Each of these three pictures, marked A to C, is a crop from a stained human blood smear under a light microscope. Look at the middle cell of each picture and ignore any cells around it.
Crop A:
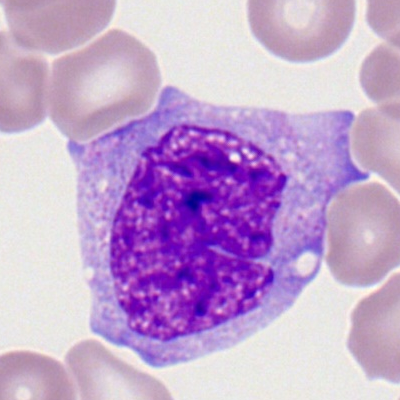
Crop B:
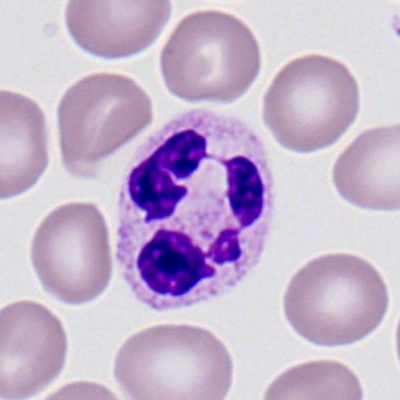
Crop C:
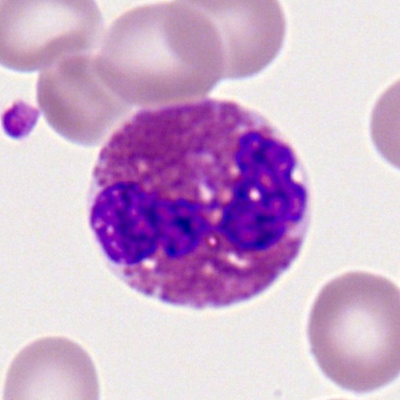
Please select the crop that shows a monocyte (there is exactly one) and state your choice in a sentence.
In the set of crops, crop A is the one that contains a monocyte.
